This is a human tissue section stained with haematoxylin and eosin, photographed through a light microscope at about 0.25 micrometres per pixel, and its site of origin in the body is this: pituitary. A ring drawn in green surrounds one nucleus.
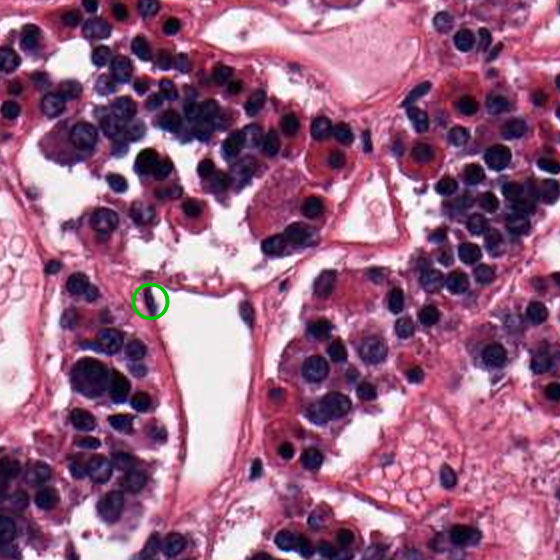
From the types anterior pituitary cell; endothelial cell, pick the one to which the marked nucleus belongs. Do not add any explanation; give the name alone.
endothelial cell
